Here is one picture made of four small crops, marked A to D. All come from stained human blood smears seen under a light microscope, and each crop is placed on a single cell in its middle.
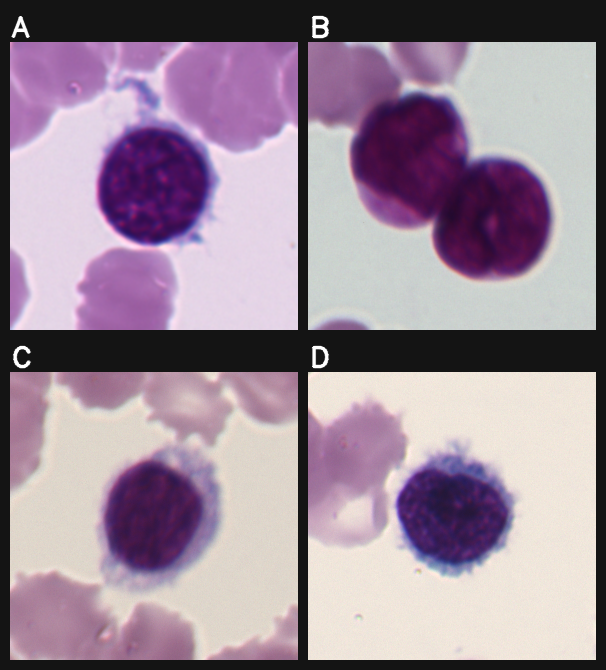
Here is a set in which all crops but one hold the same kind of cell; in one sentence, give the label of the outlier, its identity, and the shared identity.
Crop B does not match the others; it shows a blast, and they show hairy cells.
